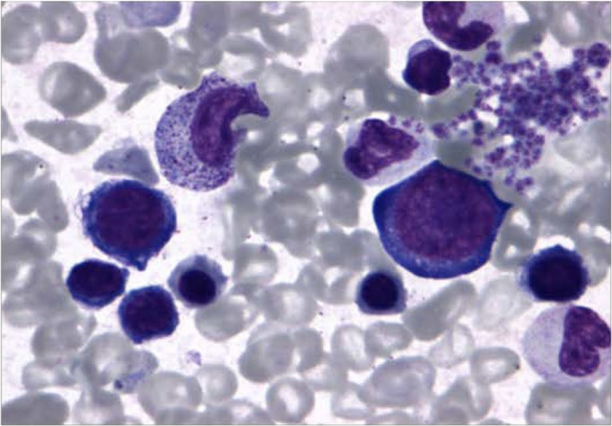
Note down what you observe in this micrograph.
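Bone marrow smear with nucleated marrow precursors scattered over a background of pale red cells. Several erythroid precursors have round, dark, condensed nuclei and a rim of deep blue cytoplasm, and they vary in size. A large cell at the centre right has a round nucleus with finer purple chromatin and abundant deep blue cytoplasm. A granulocytic cell at the upper left has a curved, horseshoe-shaped nucleus and pale cytoplasm filled with fine granules, and another with an indented nucleus lies at the lower right. A clump of small purple platelets lies at the upper right.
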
